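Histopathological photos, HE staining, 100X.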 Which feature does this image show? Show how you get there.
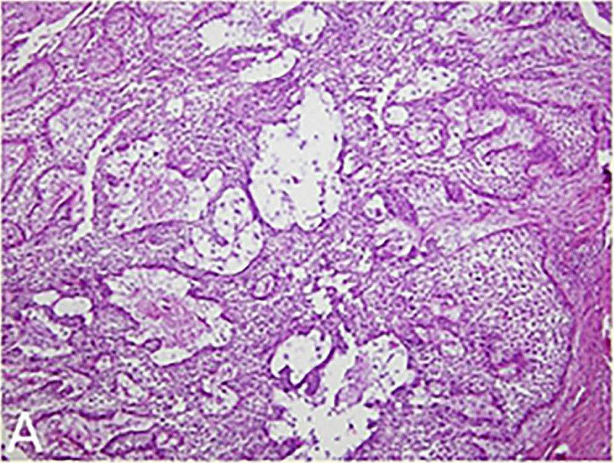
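Follicular or plexiform pattern. Crowded islands and anastomosing cords of epithelial cells. Many islands contain pale, empty-looking cystic spaces. Thin bands of connective tissue run between the epithelial islands.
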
